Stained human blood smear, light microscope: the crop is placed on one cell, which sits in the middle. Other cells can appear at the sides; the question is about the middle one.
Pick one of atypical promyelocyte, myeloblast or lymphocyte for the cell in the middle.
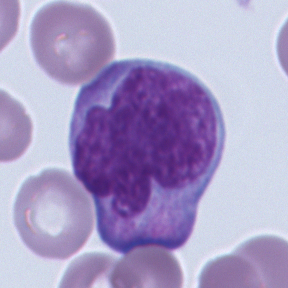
atypical promyelocyte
